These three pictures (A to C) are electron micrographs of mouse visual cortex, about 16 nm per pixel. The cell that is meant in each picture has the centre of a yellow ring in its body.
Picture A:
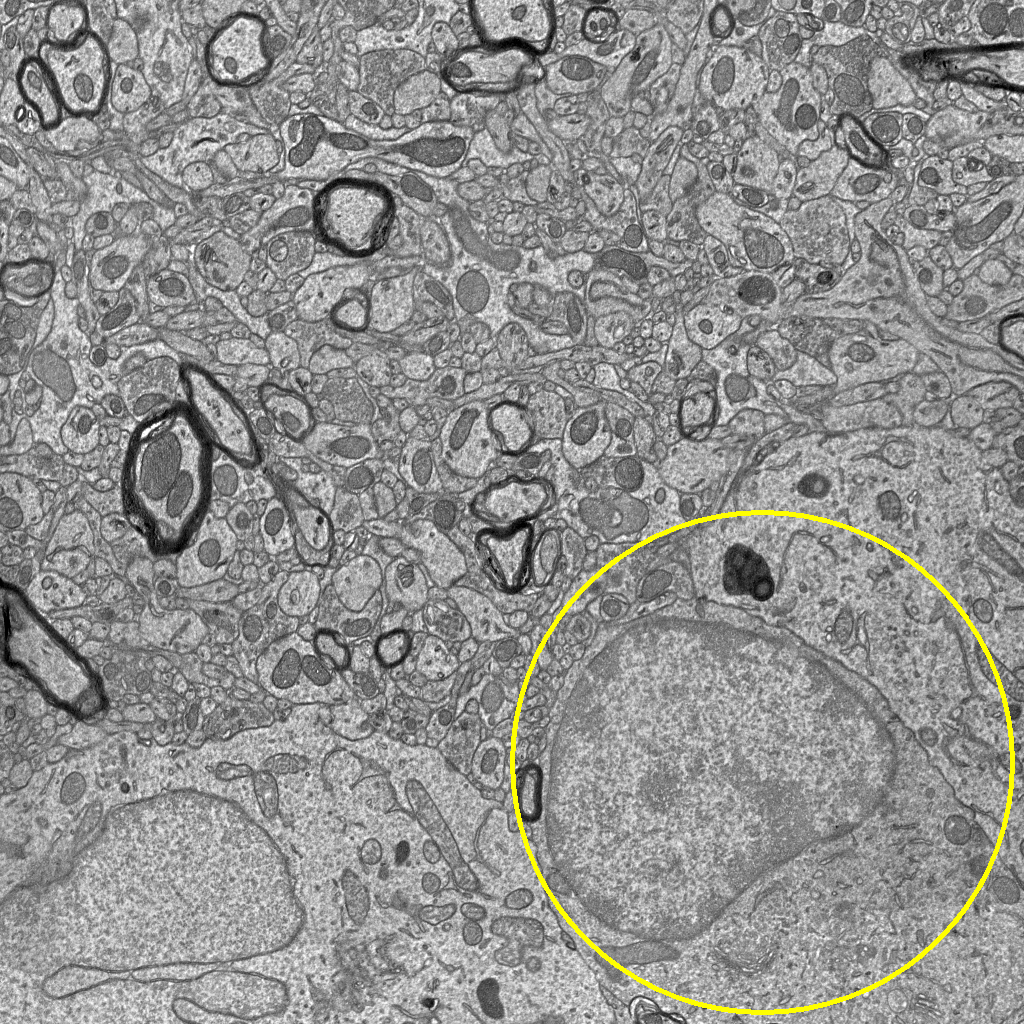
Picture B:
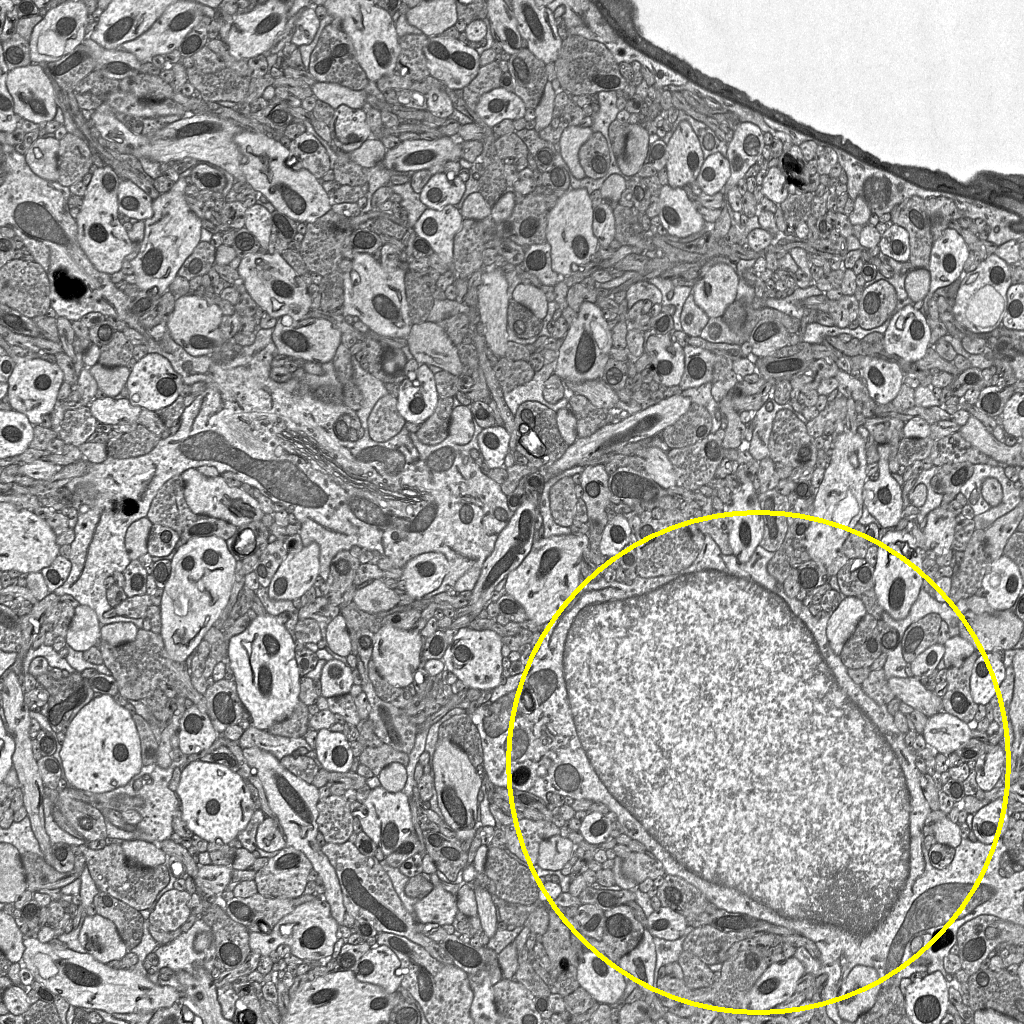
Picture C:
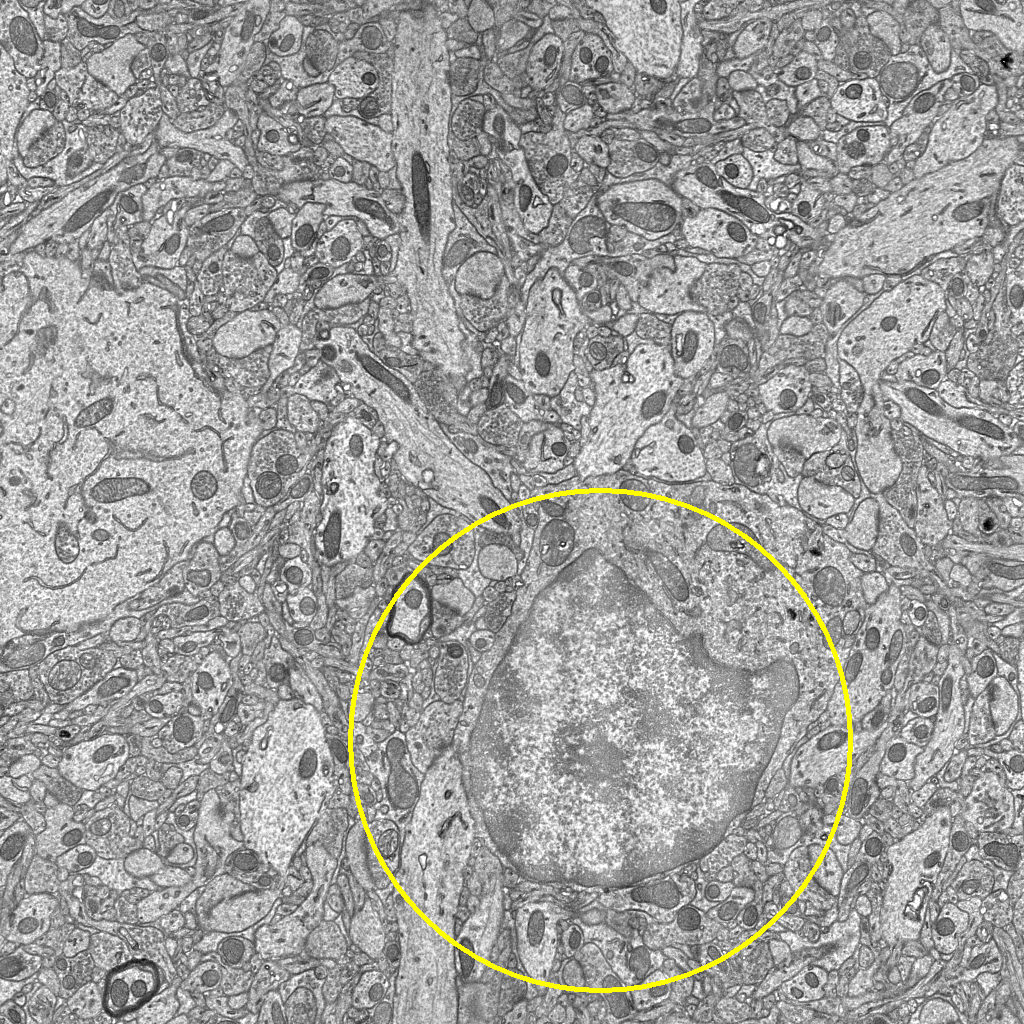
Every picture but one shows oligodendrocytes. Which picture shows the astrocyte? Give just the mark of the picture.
B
